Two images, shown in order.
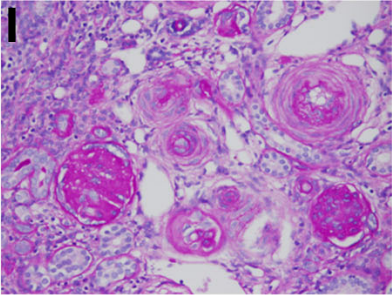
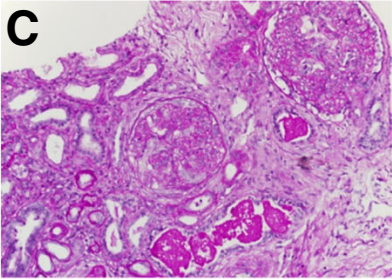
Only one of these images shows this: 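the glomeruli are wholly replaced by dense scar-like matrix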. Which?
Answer: The first image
